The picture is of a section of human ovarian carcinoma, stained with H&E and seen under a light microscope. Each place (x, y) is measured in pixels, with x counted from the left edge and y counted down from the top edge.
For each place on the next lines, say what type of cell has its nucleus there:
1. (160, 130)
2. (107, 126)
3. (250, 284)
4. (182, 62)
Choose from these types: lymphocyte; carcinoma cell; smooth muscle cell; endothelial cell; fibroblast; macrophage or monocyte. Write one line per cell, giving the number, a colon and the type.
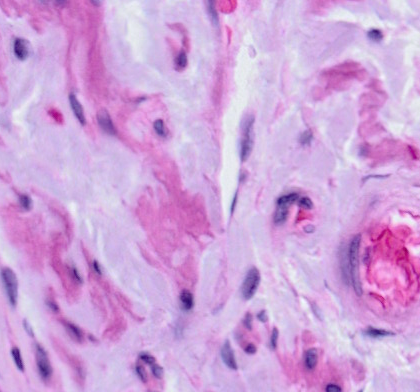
1: smooth muscle cell
2: smooth muscle cell
3: fibroblast
4: smooth muscle cell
